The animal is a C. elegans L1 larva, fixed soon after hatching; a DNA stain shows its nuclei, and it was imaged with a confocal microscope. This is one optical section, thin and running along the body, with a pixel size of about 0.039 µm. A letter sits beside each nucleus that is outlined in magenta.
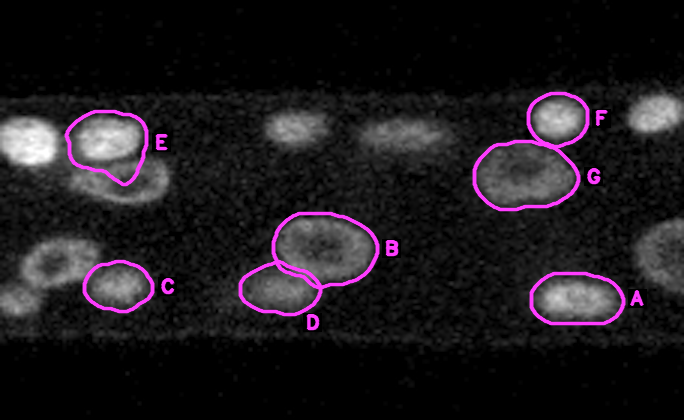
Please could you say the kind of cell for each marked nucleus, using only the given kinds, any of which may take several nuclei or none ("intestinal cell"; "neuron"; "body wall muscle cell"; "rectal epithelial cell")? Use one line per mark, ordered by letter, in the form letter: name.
A: body wall muscle cell
B: intestinal cell
C: body wall muscle cell
D: body wall muscle cell
E: neuron
F: neuron
G: intestinal cell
